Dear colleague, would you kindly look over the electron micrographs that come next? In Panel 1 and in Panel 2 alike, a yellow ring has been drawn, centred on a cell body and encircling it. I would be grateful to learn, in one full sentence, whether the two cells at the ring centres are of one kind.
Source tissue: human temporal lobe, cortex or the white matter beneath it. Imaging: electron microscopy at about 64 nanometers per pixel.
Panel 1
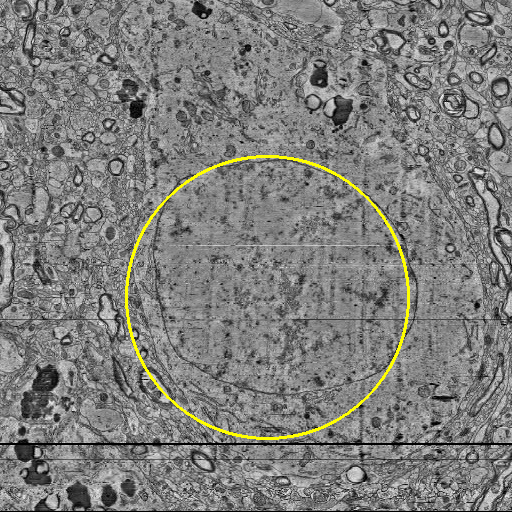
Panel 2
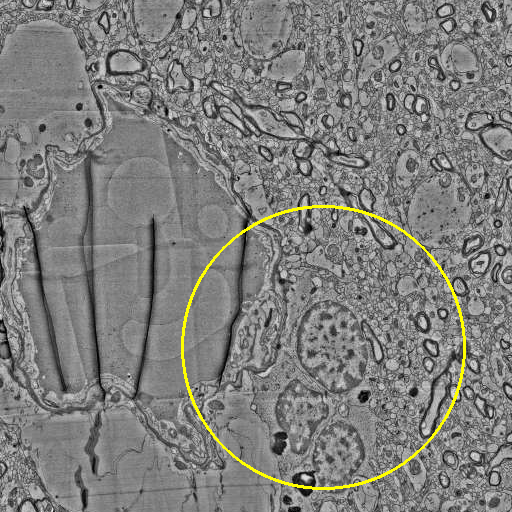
No, the cells in the middle of the rings in the two panels are of two kinds.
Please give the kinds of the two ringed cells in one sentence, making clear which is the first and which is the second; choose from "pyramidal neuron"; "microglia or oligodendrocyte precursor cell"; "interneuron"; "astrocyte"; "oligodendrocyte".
In the second picture the ringed cell is an oligodendrocyte; in the first it is a pyramidal neuron.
